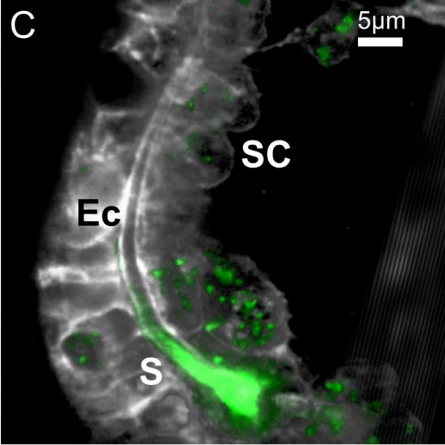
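This view shows the embryo wall with the ectoderm as a curved layer on the left and skeletogenic cells lying along its inner side. The ectoderm cells are outlined by white membranes, and the layer curves in an arc. Along the inner face of the ectoderm runs a long, bright green rod that widens toward its lower end, the elongated spicule. Rounded skeletogenic cells sit beside it, facing the dark cavity, and contain small green granules.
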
